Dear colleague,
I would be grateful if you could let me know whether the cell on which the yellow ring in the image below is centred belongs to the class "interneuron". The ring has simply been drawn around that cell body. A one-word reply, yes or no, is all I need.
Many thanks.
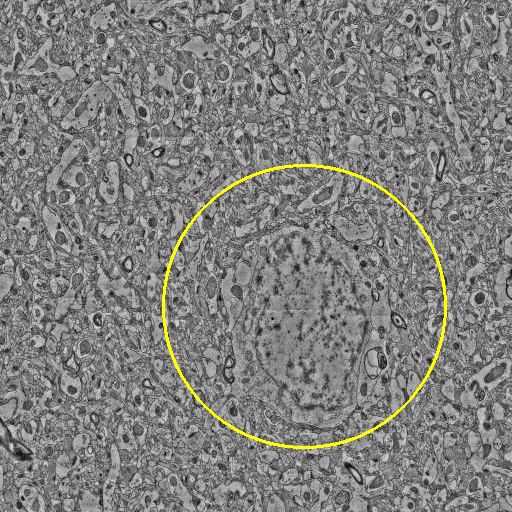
yes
